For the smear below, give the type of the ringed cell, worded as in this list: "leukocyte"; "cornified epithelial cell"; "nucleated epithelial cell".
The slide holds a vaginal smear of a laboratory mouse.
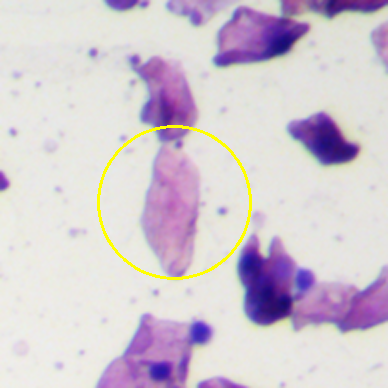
cornified epithelial cell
